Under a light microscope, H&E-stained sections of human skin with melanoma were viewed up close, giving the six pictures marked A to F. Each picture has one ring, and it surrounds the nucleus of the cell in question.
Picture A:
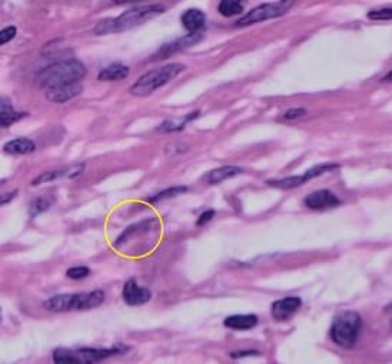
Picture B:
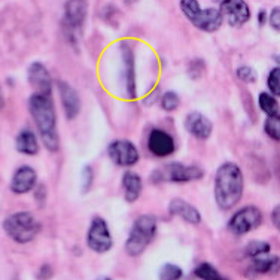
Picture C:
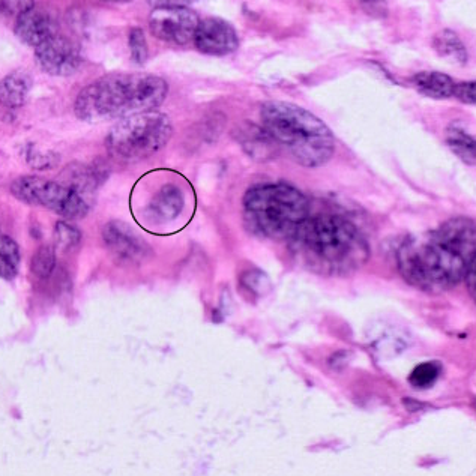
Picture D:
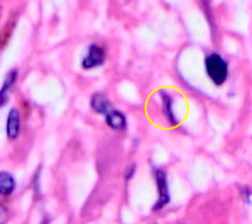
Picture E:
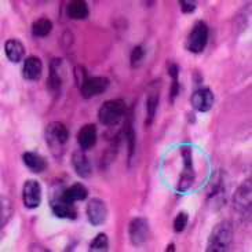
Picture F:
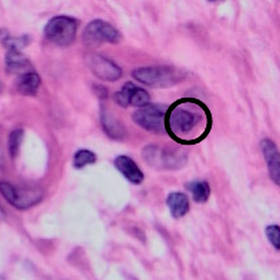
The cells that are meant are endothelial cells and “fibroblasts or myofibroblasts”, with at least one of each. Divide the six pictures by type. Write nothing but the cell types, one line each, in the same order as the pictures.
fibroblast or myofibroblast
fibroblast or myofibroblast
endothelial cell
fibroblast or myofibroblast
fibroblast or myofibroblast
endothelial cell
